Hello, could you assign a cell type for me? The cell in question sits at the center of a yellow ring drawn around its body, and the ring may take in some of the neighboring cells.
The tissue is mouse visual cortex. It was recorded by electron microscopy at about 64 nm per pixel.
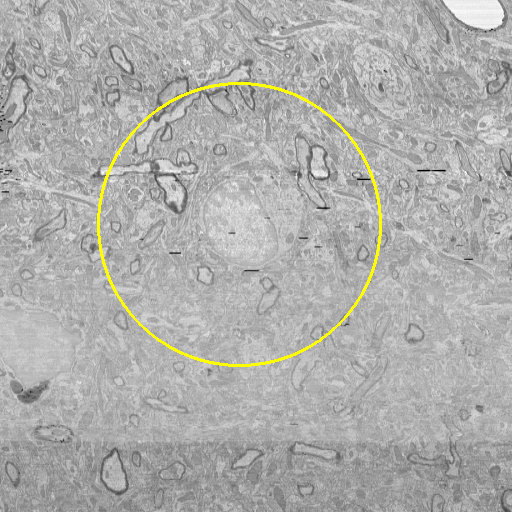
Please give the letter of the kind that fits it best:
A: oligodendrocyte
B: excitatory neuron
A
